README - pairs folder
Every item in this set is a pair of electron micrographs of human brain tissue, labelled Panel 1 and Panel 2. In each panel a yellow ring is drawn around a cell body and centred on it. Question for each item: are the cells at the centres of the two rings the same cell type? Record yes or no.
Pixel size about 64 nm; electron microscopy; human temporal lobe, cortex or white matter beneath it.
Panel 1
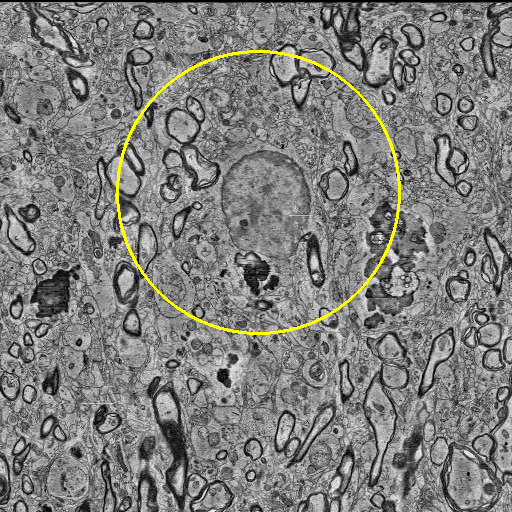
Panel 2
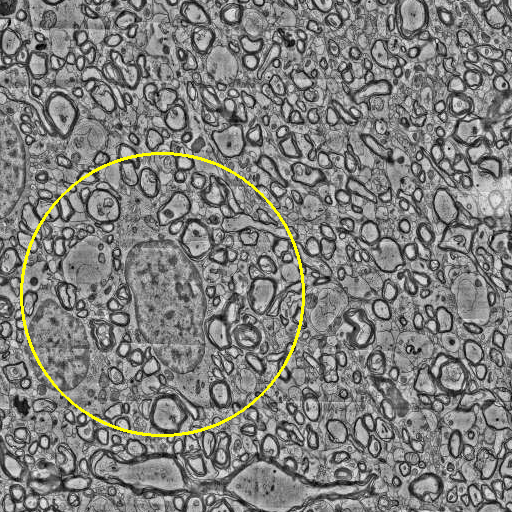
yes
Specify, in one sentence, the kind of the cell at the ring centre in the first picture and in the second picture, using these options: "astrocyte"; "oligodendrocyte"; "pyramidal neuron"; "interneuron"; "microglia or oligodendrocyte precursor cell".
Both cells are the same kind, each one being an oligodendrocyte.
